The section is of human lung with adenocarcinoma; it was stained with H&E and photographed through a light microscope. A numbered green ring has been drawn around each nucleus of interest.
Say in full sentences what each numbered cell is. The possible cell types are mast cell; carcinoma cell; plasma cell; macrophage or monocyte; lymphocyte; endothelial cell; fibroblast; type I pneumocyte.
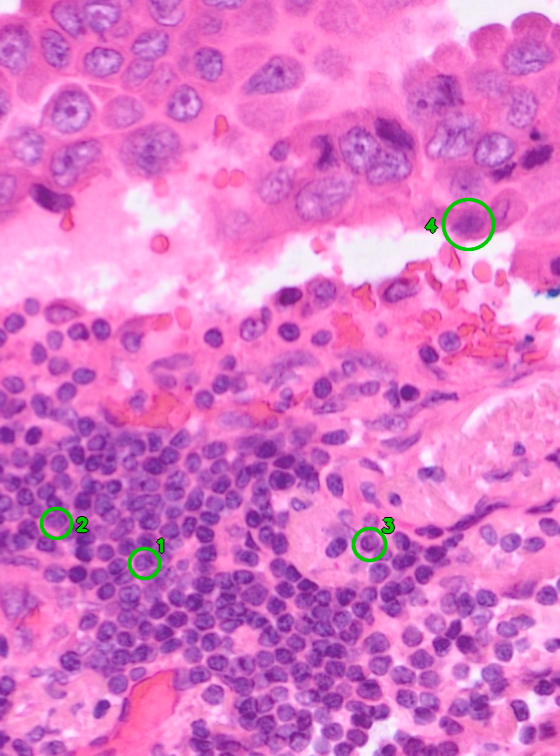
Cell 1 is a lymphocyte, cell 2 is a lymphocyte, cell 3 is a lymphocyte and cell 4 is a carcinoma cell.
